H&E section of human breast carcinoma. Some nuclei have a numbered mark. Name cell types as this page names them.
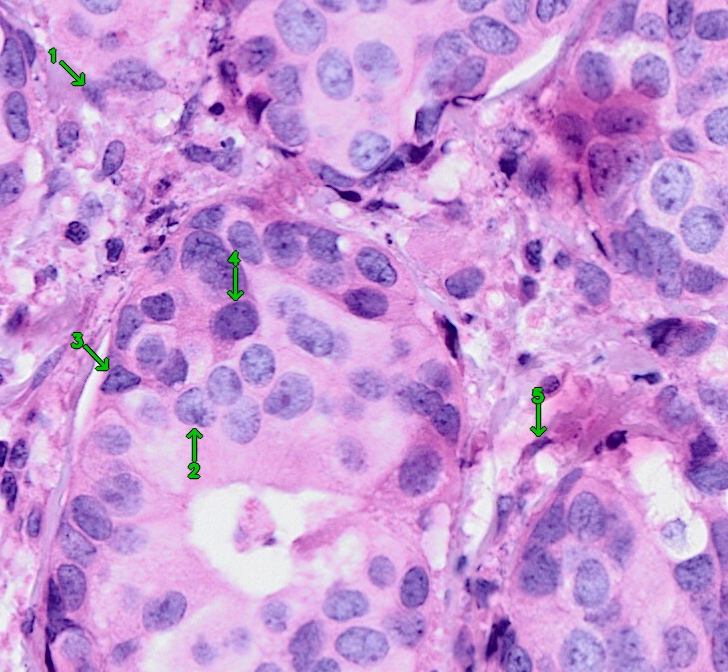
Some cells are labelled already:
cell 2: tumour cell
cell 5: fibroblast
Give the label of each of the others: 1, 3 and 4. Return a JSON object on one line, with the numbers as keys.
{"1": "fibroblast", "3": "tumour cell", "4": "tumour cell"}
